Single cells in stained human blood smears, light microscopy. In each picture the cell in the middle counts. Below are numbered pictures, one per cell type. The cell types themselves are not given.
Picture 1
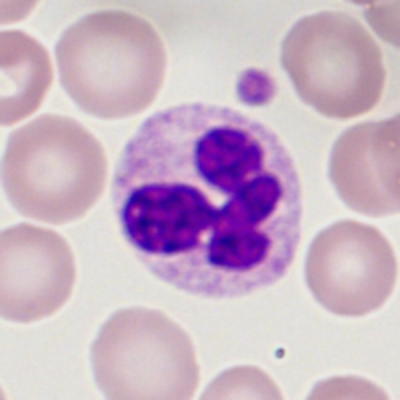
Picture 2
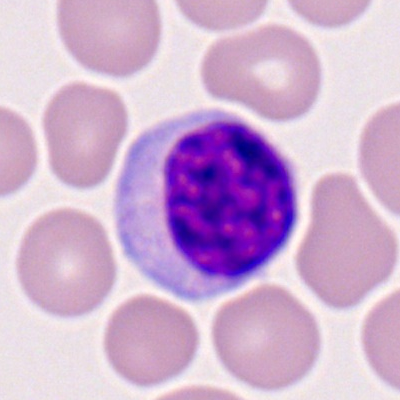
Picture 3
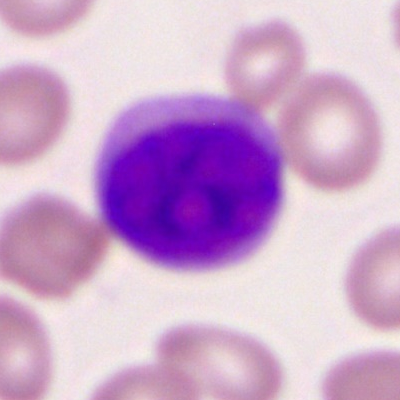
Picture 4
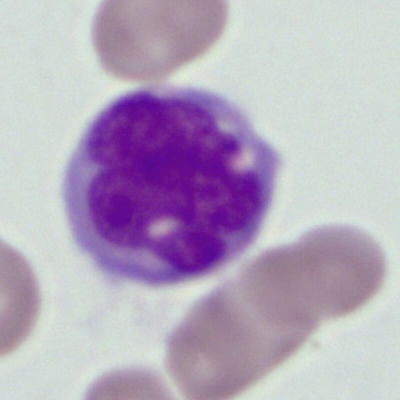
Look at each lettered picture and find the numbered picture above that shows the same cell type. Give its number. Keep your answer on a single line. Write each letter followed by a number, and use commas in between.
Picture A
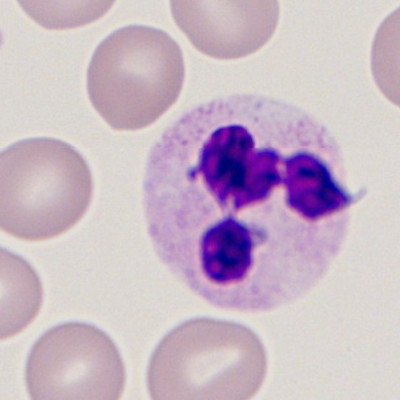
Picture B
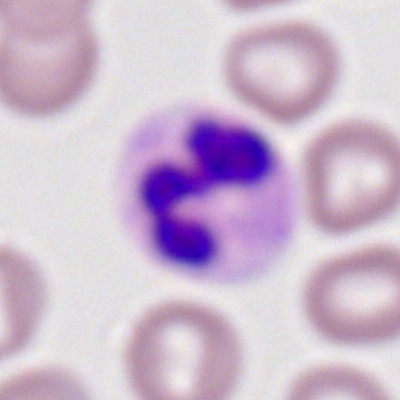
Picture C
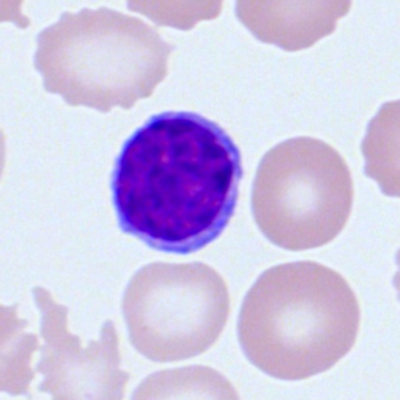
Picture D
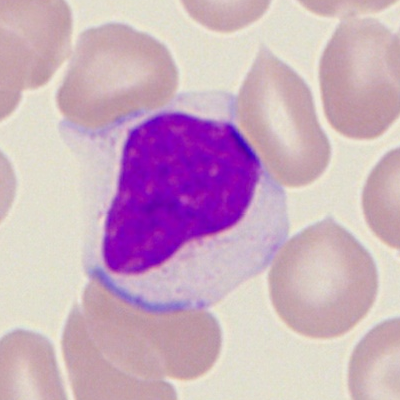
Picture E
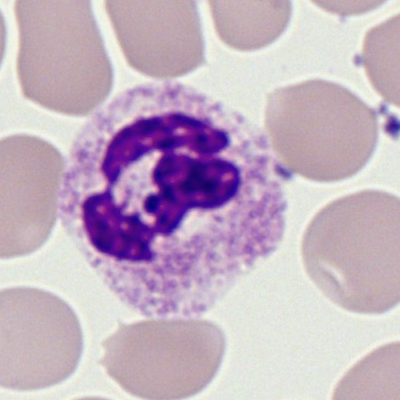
A 1, B 1, C 2, D 2, E 1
